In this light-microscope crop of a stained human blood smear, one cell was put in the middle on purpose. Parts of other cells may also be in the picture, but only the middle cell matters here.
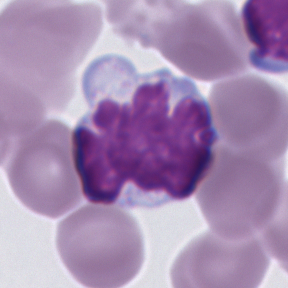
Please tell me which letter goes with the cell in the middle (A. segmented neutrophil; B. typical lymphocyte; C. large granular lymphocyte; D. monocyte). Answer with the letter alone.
C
